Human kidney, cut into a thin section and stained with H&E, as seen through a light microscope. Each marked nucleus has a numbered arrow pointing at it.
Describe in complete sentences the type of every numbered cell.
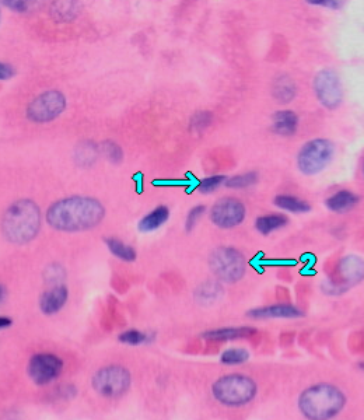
Cell 1 is an endothelial cell and cell 2 is a loop of Henle or distal tubule cell.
